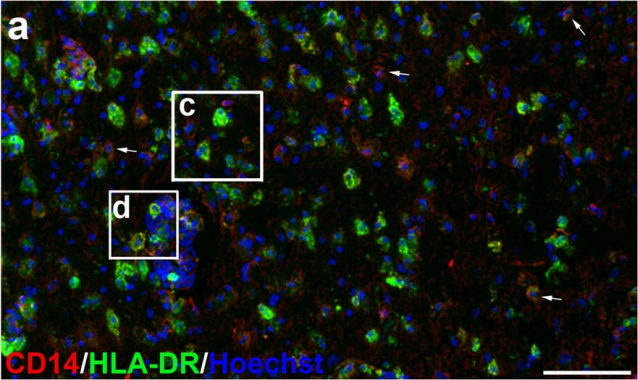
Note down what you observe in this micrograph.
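Lesion tissue crowded with rounded, amoeboid cells among scattered small blue nuclei. Many of the large rounded cells have bright green cytoplasm around a blue nucleus, some with a yellow-orange tone where red and green overlap. A smaller number of cells show only a thin red rim with little or no green, marked by white arrows. Processes are few; the cells are mostly round or oval rather than branched.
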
